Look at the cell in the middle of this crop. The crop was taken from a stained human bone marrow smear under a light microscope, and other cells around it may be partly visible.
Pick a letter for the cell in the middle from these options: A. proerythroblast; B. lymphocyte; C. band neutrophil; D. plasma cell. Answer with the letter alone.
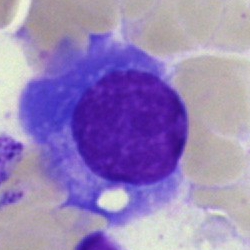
D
